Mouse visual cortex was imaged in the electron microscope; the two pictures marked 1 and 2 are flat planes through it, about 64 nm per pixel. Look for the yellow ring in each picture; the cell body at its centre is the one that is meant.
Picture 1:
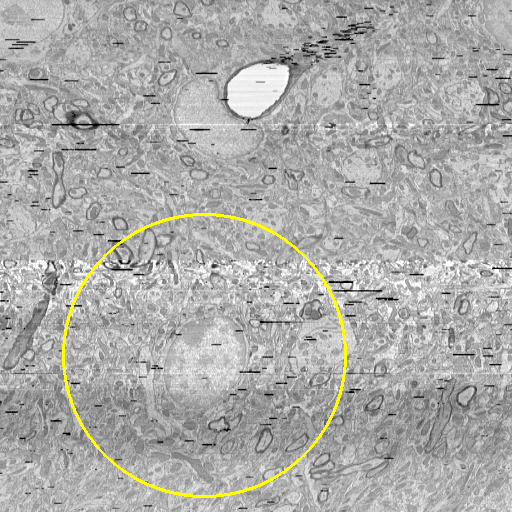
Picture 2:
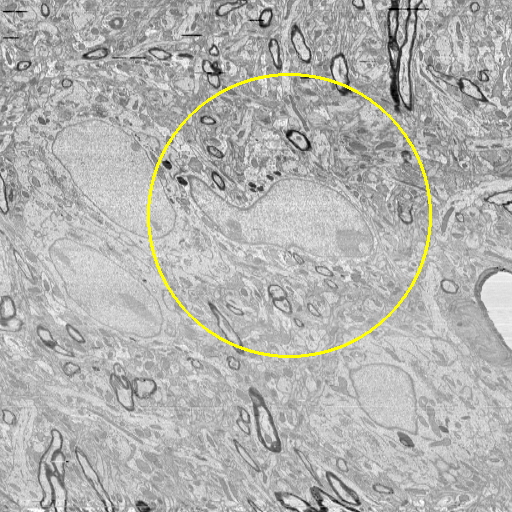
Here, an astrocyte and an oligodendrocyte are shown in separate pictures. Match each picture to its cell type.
Picture 1 shows an oligodendrocyte and picture 2 shows an astrocyte.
